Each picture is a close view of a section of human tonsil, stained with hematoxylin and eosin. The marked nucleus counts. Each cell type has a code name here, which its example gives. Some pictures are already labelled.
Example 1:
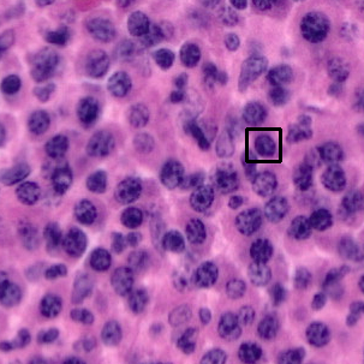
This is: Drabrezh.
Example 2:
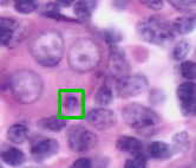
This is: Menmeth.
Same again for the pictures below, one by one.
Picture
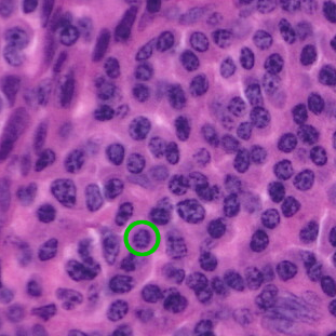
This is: Drabrezh.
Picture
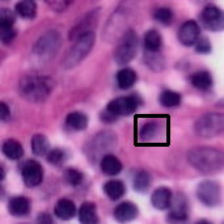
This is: Menmeth.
